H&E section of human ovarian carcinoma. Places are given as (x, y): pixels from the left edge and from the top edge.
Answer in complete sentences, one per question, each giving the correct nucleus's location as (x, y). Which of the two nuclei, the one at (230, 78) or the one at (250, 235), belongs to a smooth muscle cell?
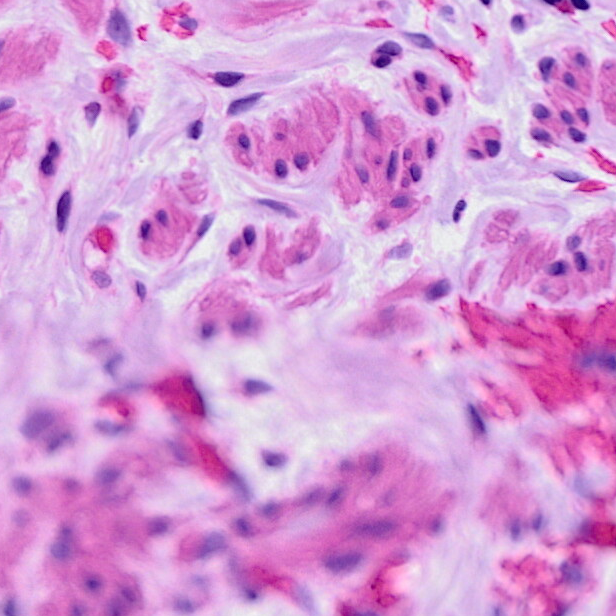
Identified as belonging to a smooth muscle cell is the nucleus at (250, 235).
